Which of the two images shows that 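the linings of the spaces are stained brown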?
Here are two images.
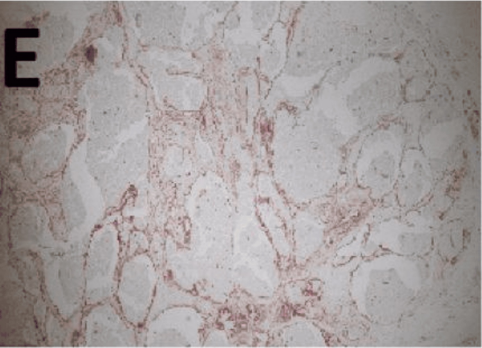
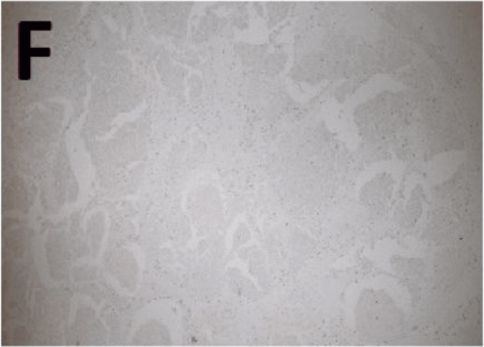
The first image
